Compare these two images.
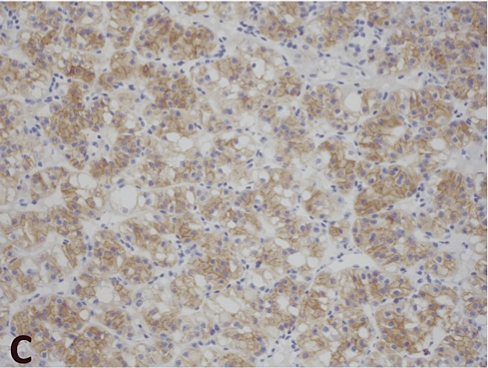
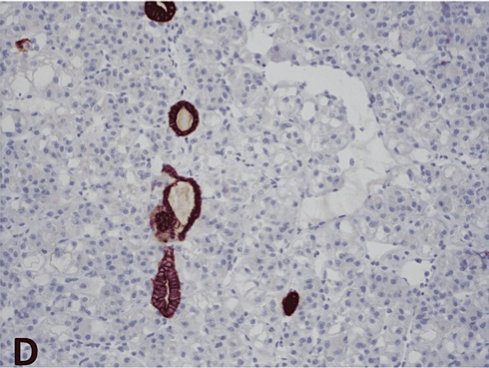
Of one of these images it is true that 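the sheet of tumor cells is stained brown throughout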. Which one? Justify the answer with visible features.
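The first image. Second image: the sheet of cells shows only blue nuclei with pale cytoplasm; brown is limited to a few small tubules. First image: the cytoplasm of cells across the whole sheet is brown.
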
